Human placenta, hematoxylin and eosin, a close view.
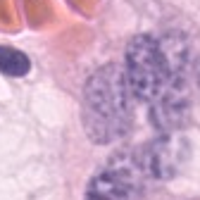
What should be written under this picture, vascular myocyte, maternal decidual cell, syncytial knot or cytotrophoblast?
syncytial knot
